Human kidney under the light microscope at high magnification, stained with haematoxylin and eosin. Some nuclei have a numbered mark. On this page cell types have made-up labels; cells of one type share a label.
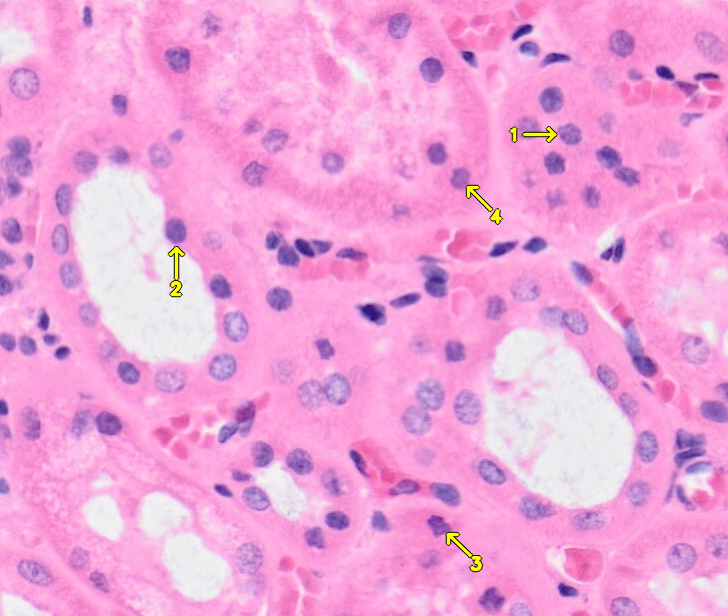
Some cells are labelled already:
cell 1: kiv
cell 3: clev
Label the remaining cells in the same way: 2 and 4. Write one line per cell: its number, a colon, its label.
2: kiv
4: clev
